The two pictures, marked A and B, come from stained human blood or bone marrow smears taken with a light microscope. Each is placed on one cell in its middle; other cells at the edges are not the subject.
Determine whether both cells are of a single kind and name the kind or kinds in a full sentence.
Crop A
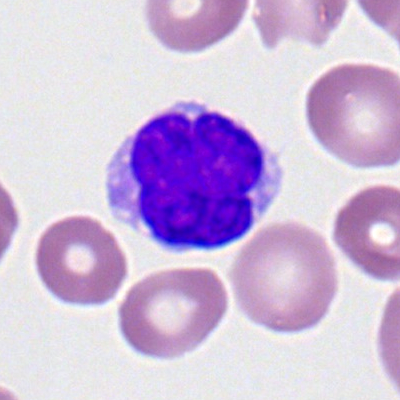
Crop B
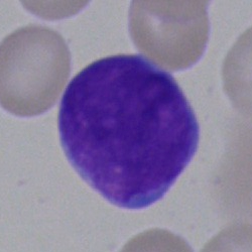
No, the cell in crop A is a lymphocyte, and the cell in crop B is a blast.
